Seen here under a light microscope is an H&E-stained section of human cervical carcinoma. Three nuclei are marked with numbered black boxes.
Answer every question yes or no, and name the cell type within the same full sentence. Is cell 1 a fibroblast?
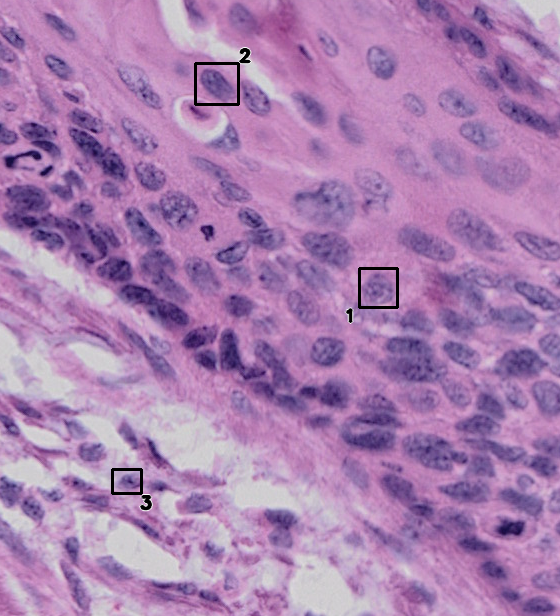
No, the cell at number 1 is a squamous carcinoma cell instead of a fibroblast.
